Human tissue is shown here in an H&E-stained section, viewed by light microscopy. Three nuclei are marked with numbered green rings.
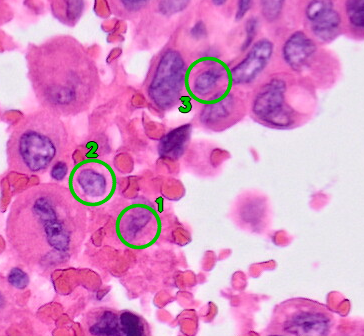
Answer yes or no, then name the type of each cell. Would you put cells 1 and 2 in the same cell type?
Yes, both cell 1 and cell 2 are macrophages or monocytes.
